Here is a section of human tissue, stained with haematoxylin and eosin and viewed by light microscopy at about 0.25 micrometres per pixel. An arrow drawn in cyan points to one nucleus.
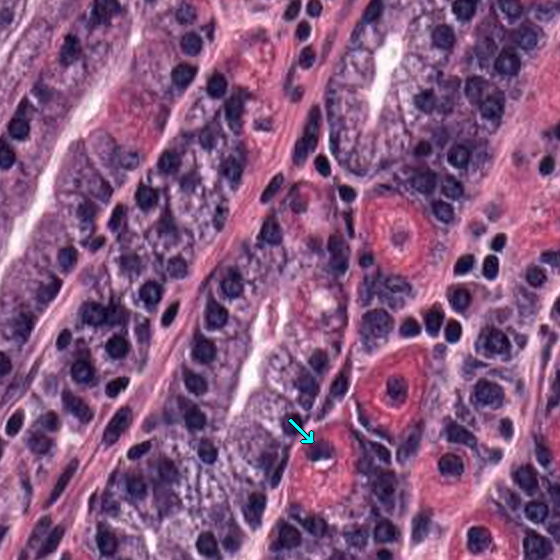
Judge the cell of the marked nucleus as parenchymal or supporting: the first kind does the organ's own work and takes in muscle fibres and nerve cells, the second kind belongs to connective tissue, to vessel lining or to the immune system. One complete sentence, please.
The nucleus marked here belongs to a parenchymal cell, namely a parietal cell.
